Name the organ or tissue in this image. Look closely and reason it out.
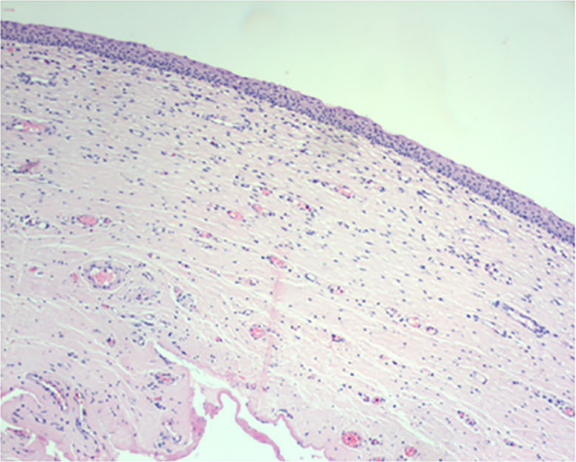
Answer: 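Cyst wall. A thick band of pale pink fibrous tissue with many small blood vessels. A thin, darker purple cell layer runs along one surface. An empty space borders the opposite edge.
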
